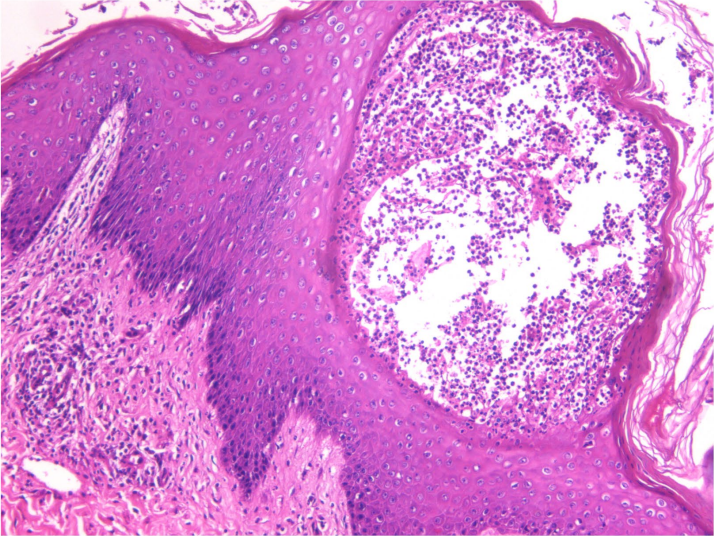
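Skin with thickened squamous epidermis containing a large, round intraepidermal cavity packed with small inflammatory cells with dark, lobed nuclei and some pale fibrinous material. The surrounding keratinocytes are pink with central round nuclei, a thin compact layer of keratin covers the surface, and the dermis at left holds scattered inflammatory cells around small vessels.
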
